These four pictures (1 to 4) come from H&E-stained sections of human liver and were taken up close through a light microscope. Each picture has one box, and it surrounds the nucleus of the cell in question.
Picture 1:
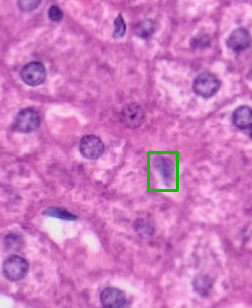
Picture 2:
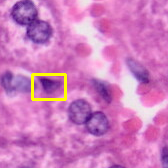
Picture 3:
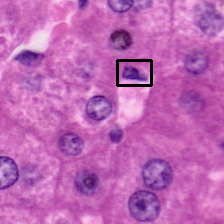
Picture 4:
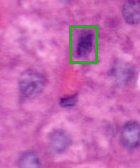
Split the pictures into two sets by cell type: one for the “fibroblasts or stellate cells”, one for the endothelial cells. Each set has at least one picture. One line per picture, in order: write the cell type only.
endothelial cell
fibroblast or stellate cell
endothelial cell
fibroblast or stellate cell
